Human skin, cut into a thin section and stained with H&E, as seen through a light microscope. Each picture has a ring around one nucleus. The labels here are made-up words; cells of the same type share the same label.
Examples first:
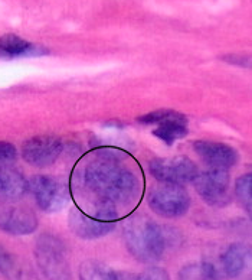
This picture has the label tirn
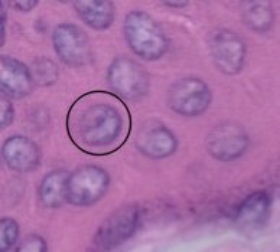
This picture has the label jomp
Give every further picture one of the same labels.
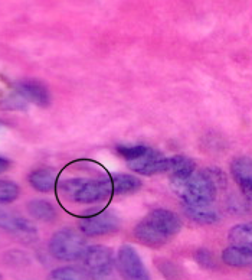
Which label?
tirn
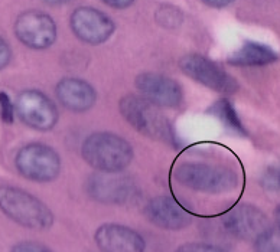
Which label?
tirn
